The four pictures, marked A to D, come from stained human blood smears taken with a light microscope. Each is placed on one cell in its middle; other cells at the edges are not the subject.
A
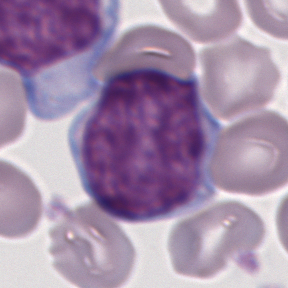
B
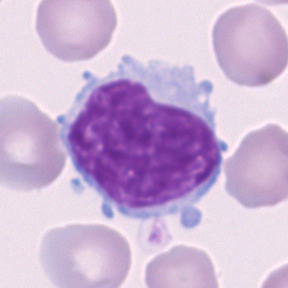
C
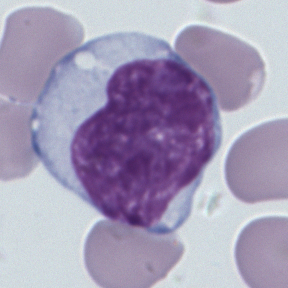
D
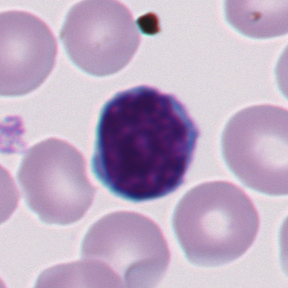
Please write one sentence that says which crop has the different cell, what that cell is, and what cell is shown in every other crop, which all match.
Where the others show blasts, crop D shows a lymphocyte.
